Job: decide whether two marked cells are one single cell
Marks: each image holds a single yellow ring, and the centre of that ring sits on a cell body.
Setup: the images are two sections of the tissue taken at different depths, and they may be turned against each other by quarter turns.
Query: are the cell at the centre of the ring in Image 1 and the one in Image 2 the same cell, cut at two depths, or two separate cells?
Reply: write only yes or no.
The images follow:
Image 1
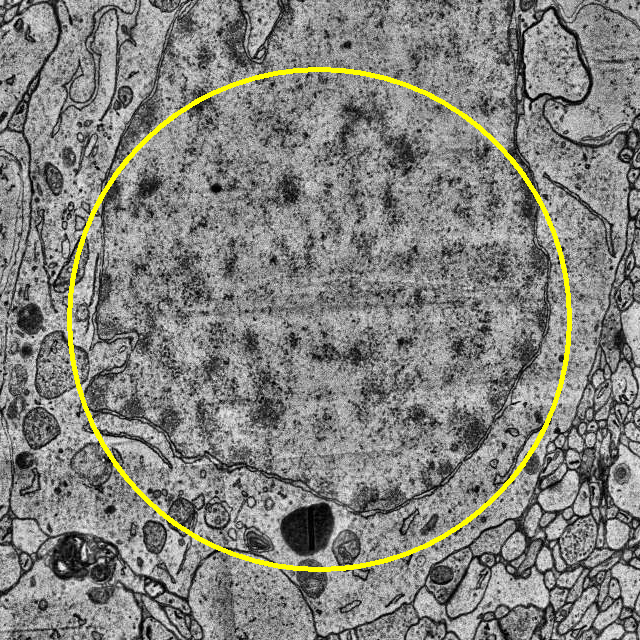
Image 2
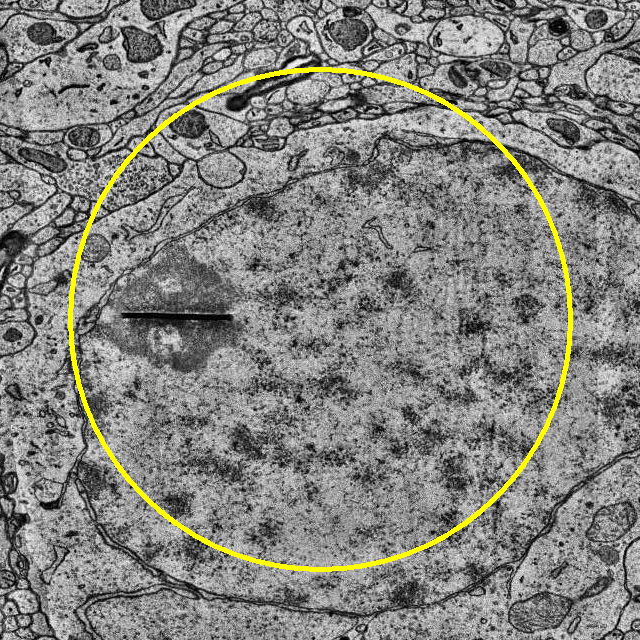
no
